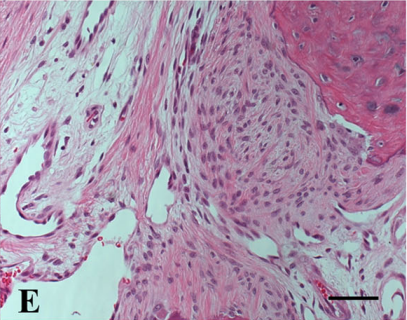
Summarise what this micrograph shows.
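This shows fibroblasts proliferating in fibrous tissue next to bone. The cells are spindle-shaped with elongated, uniform, bland nuclei and lie densely packed in bundles within a pale pink fibrous stroma. A pink hard-tissue area with cells in lacunae borders them at one corner, and clear spaces separate strands of the fibrous tissue.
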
